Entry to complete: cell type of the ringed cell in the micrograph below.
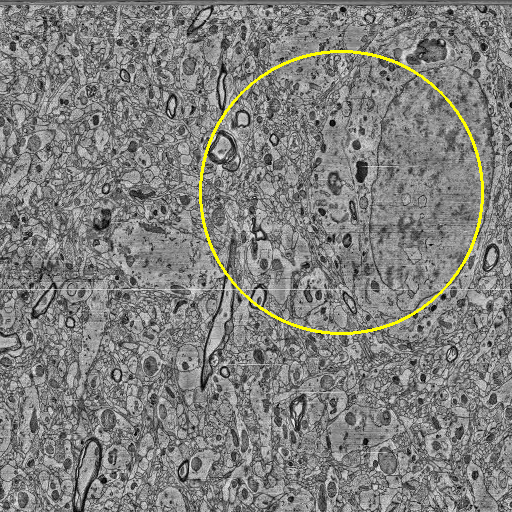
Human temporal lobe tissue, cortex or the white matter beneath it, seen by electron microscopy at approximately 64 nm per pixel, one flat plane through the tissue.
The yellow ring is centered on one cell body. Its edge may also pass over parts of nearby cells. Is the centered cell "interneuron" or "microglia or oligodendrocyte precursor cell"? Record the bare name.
microglia or oligodendrocyte precursor cell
